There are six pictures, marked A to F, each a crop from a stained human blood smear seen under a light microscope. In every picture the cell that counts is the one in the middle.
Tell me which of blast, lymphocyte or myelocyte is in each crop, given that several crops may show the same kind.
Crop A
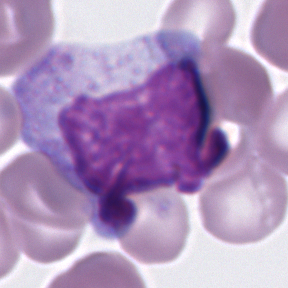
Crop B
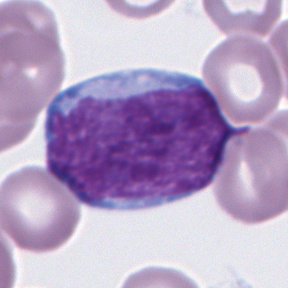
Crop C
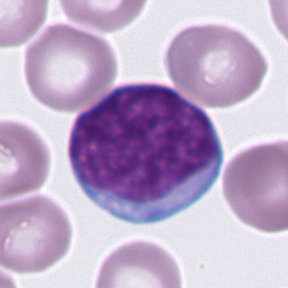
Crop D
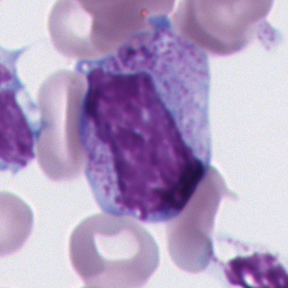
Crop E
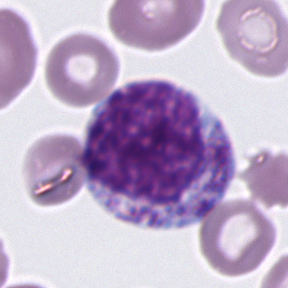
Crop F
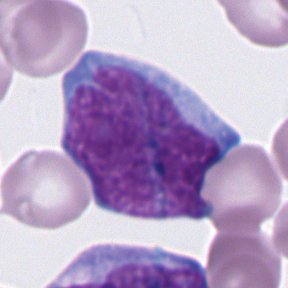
A: myelocyte
B: blast
C: lymphocyte
D: myelocyte
E: myelocyte
F: blast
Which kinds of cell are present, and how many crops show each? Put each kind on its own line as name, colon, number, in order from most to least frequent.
myelocyte: 3
blast: 2
lymphocyte: 1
